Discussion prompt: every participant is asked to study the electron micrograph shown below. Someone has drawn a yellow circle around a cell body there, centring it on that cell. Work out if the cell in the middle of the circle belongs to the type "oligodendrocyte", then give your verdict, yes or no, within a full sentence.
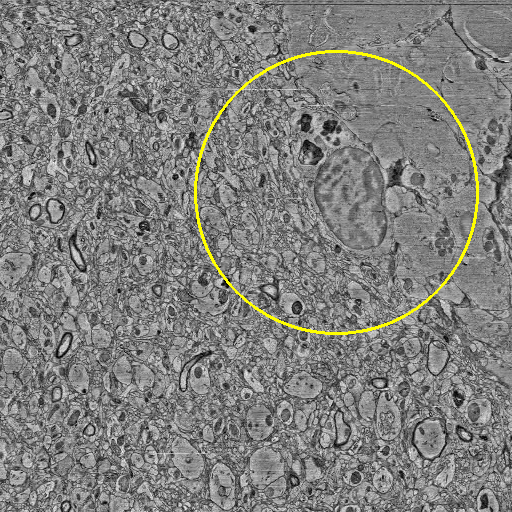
Yes, my verdict is that the cell in the circle's centre is of that type.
